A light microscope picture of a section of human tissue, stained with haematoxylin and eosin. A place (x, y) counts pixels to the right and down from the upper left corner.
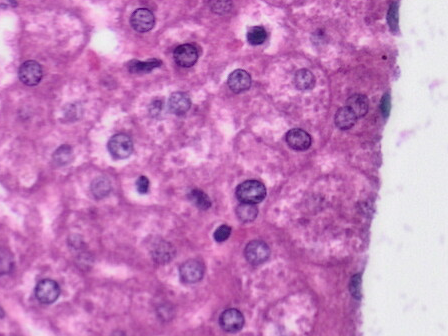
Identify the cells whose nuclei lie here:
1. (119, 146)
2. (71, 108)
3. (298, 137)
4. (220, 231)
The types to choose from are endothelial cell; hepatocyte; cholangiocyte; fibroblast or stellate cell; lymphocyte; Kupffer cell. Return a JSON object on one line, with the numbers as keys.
{"1": "hepatocyte", "2": "hepatocyte", "3": "hepatocyte", "4": "lymphocyte"}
